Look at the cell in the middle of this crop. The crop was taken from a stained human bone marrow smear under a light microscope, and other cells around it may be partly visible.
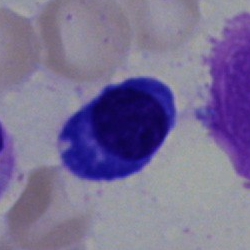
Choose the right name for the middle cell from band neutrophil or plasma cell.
plasma cell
